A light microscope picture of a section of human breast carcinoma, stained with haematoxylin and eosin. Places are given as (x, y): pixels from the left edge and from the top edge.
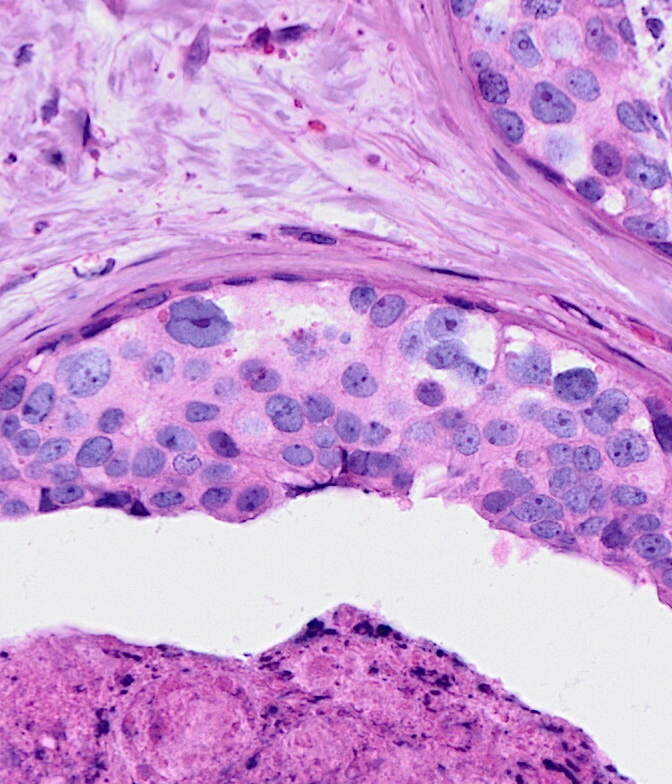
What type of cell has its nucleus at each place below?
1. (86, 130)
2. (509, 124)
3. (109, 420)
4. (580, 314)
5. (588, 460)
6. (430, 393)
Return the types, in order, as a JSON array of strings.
["fibroblast", "carcinoma cell", "carcinoma cell", "fibroblast", "carcinoma cell", "carcinoma cell"]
